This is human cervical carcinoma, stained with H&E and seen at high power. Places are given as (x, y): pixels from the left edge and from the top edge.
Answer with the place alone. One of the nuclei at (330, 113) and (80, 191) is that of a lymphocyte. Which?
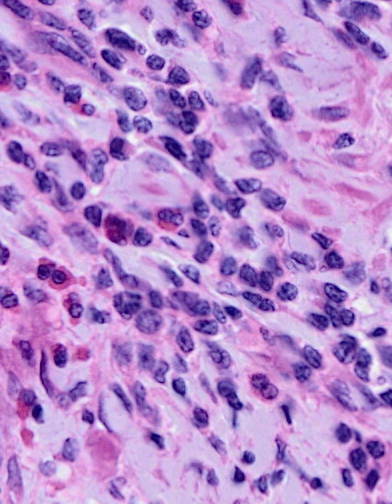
(80, 191)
